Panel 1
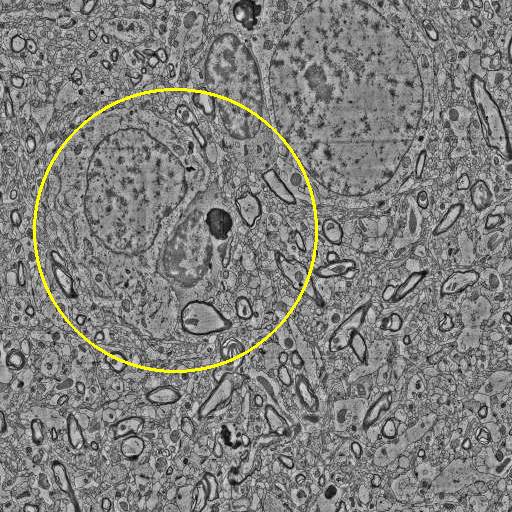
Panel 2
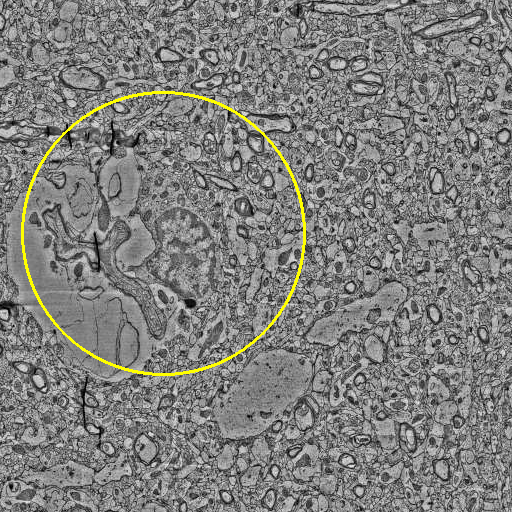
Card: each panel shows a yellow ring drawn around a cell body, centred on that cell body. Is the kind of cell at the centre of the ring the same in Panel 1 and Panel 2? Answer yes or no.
yes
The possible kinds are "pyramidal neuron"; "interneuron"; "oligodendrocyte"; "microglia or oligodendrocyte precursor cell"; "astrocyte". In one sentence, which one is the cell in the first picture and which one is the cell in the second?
Both cells are the same kind, each one being an oligodendrocyte.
